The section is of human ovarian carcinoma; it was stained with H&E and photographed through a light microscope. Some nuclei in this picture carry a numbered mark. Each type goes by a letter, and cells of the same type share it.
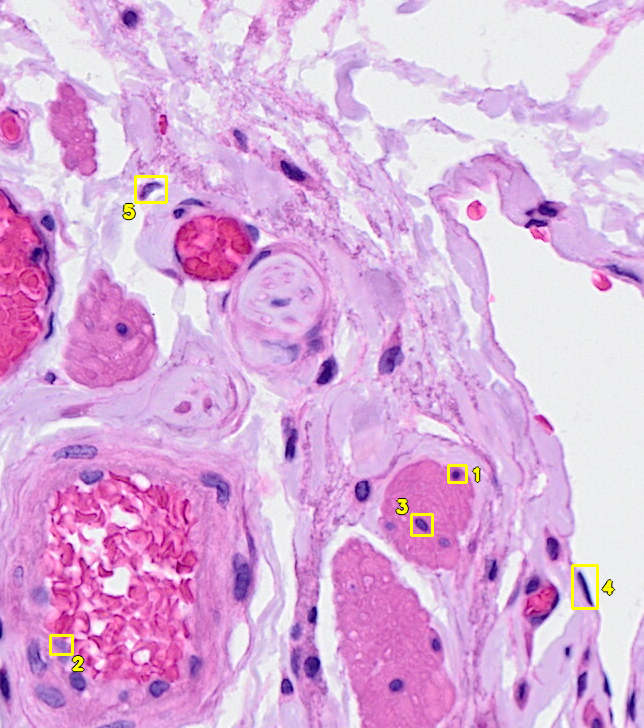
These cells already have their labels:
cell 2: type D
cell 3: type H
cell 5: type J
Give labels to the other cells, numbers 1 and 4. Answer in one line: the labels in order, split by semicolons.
type H; type D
